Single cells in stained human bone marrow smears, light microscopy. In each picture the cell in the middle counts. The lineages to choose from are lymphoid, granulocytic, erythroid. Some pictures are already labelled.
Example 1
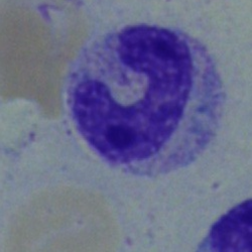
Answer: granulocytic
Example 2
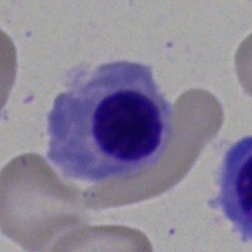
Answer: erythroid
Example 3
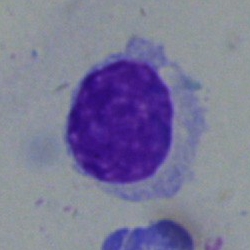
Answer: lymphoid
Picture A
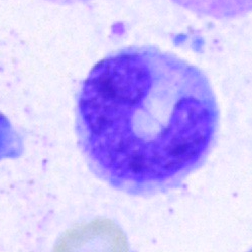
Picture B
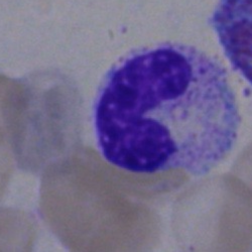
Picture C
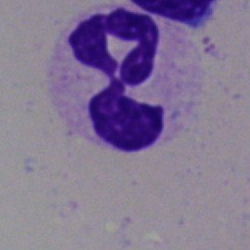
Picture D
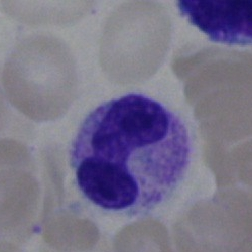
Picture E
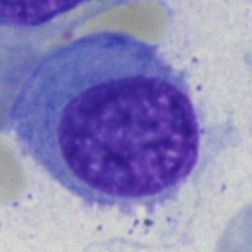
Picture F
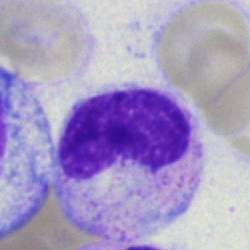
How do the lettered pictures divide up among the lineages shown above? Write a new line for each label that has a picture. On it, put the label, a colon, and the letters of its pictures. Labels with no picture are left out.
lymphoid: E
granulocytic: A, B, C, D, F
